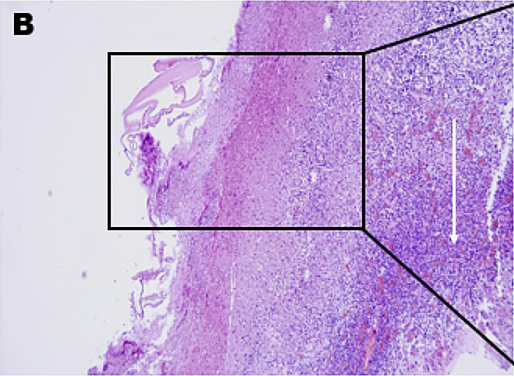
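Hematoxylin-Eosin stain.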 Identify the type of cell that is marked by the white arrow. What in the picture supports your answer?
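The arrow lies in a zone packed with many small, dark purple round nuclei. This cellular zone lies to the right of a paler pink, cell-poor band. On this evidence: inflammatory cells.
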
